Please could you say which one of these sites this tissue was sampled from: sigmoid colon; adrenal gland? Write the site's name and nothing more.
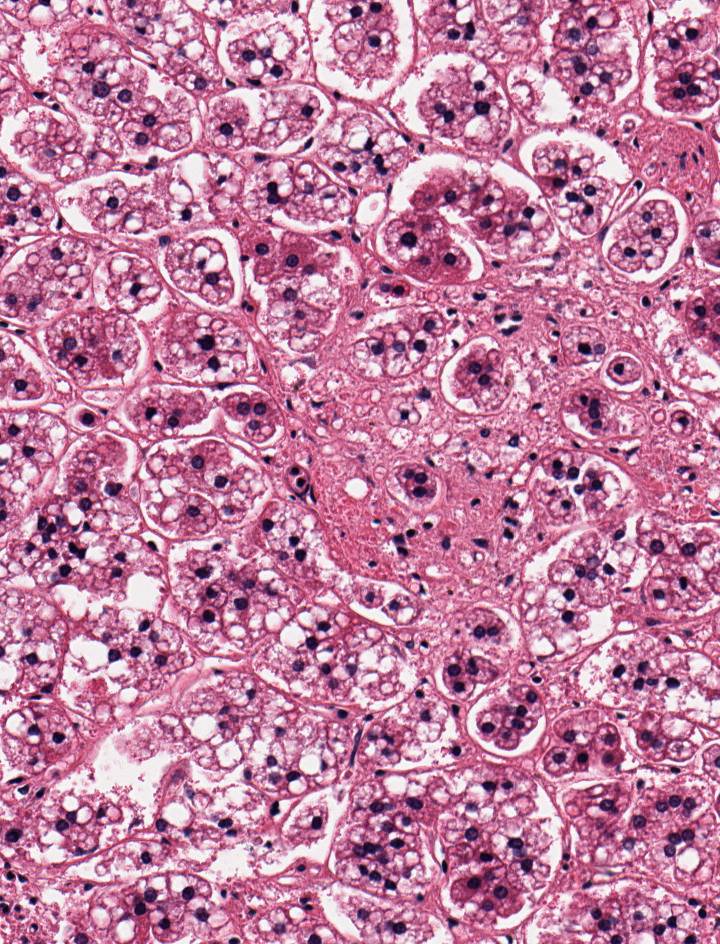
adrenal gland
